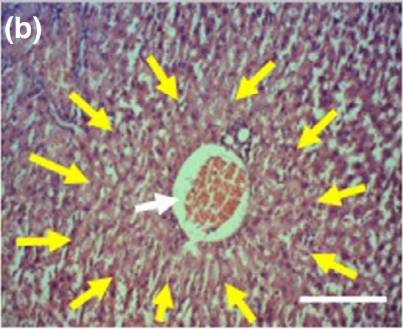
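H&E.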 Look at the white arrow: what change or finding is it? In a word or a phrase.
Vascular congestion.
